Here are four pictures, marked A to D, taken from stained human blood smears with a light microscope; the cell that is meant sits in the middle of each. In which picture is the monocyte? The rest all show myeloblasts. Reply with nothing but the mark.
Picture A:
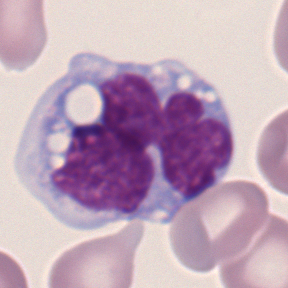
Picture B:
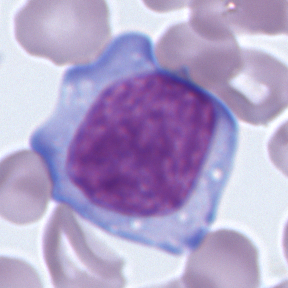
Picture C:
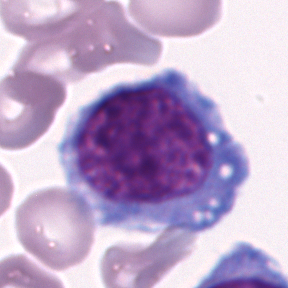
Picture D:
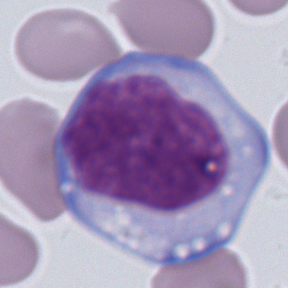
A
